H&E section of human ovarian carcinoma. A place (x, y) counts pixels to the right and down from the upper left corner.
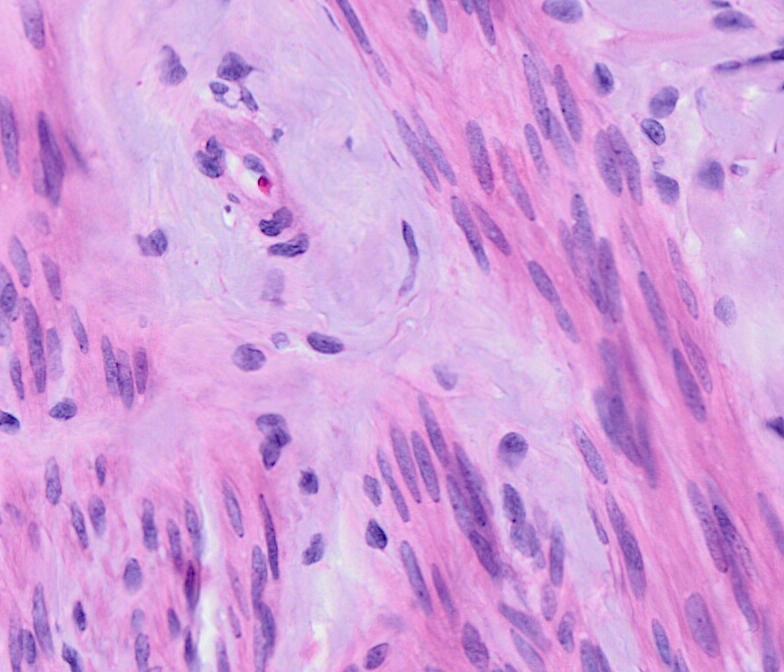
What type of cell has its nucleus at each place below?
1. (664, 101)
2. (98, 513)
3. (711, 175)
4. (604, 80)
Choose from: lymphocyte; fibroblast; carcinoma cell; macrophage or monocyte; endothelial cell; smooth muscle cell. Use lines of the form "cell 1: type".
cell 1: fibroblast
cell 2: smooth muscle cell
cell 3: fibroblast
cell 4: fibroblast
